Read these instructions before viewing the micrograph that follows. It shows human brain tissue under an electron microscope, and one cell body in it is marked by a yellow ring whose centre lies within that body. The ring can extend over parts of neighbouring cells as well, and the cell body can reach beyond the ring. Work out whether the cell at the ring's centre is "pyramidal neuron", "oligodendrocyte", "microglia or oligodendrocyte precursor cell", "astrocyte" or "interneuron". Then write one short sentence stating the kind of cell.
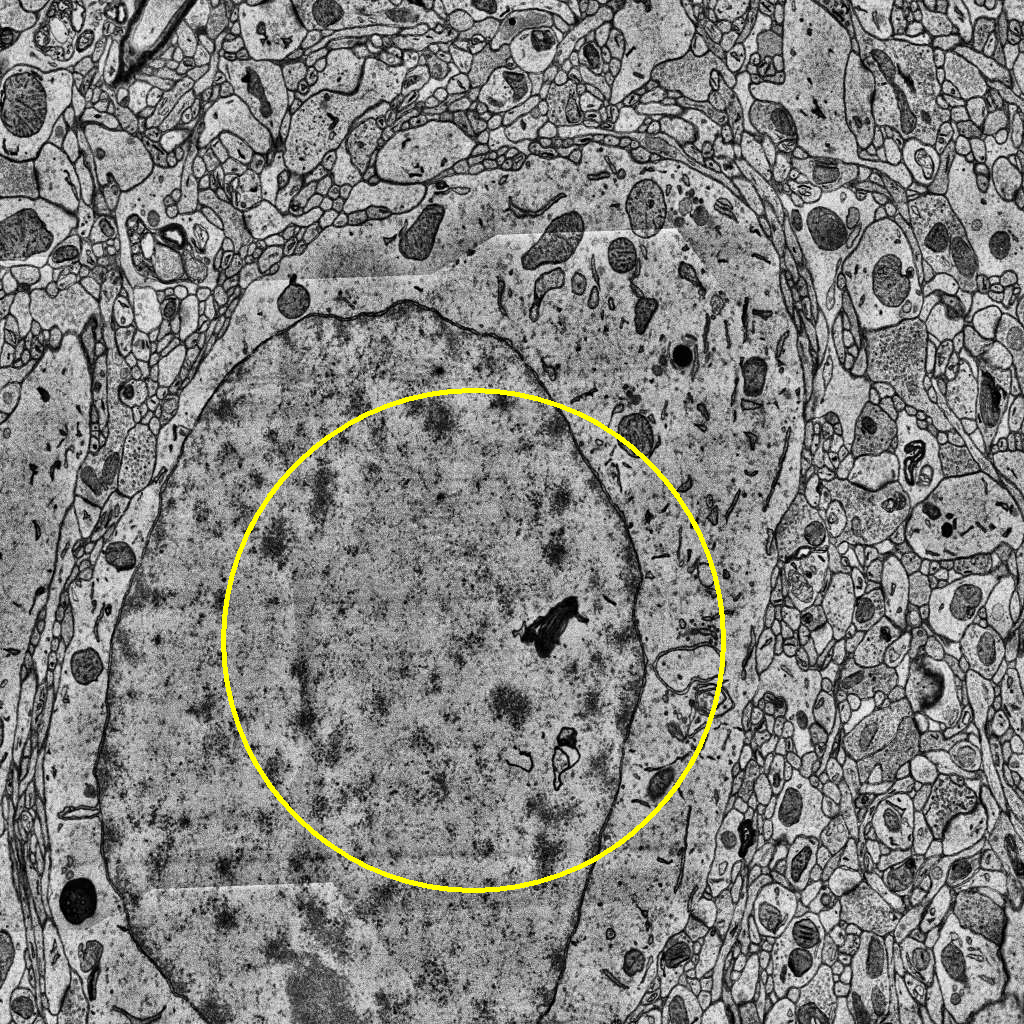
The cell at the ring's centre is a pyramidal neuron.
